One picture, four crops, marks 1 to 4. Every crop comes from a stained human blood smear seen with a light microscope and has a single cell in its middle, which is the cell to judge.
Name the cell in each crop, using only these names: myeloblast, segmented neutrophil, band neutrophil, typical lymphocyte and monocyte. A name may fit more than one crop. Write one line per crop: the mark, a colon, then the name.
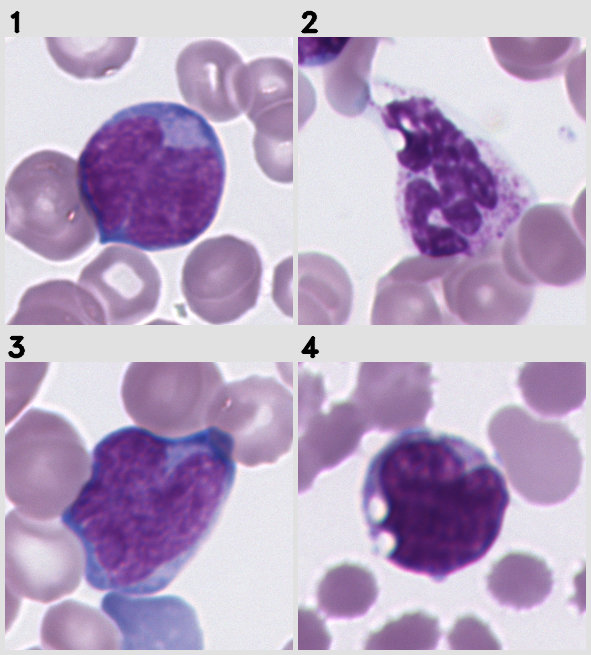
1: myeloblast
2: segmented neutrophil
3: myeloblast
4: monocyte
